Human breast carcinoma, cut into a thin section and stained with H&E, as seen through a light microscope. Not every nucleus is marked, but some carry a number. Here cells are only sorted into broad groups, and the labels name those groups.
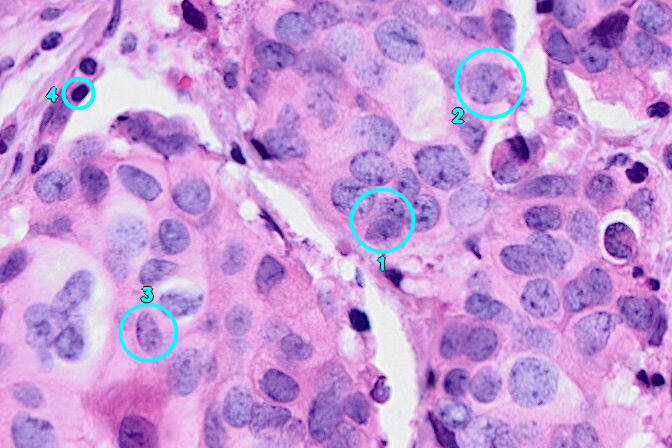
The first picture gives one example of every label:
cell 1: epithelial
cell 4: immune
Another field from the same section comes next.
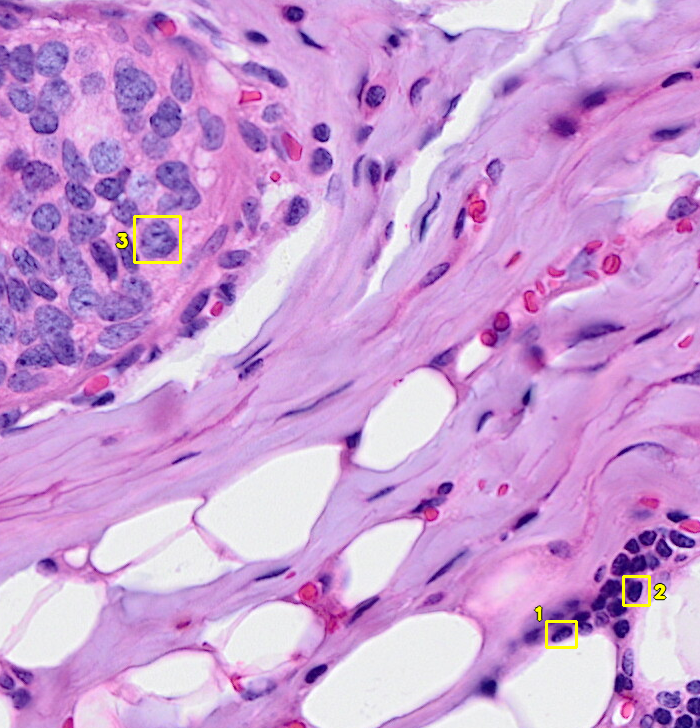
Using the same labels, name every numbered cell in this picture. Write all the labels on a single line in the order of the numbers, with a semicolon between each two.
immune; immune; epithelial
